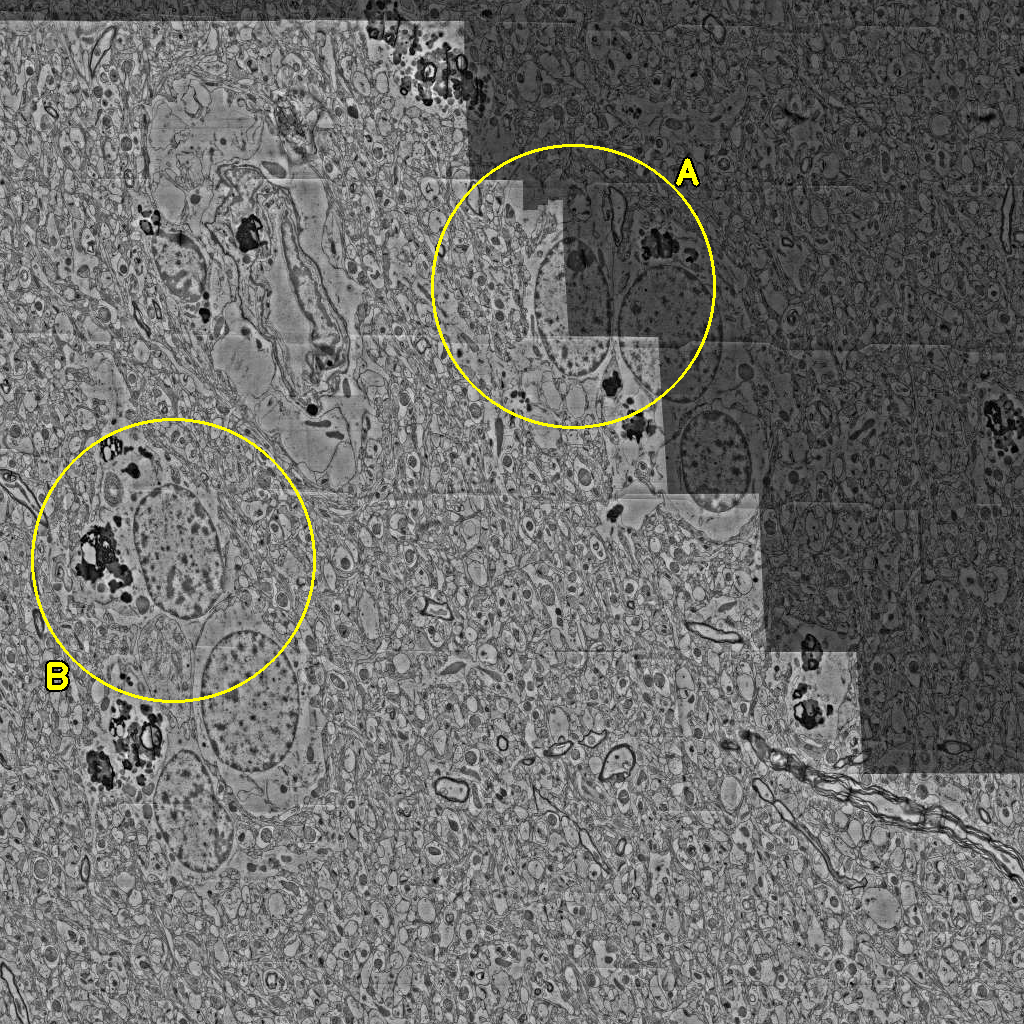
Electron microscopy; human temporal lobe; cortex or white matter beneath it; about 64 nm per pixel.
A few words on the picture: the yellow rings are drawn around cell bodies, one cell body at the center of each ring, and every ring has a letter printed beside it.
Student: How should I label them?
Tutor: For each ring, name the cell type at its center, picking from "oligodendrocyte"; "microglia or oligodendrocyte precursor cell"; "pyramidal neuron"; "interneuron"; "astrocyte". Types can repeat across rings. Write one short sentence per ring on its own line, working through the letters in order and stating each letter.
In ring A, the central cell is an astrocyte.
In ring B, the central cell is an astrocyte.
